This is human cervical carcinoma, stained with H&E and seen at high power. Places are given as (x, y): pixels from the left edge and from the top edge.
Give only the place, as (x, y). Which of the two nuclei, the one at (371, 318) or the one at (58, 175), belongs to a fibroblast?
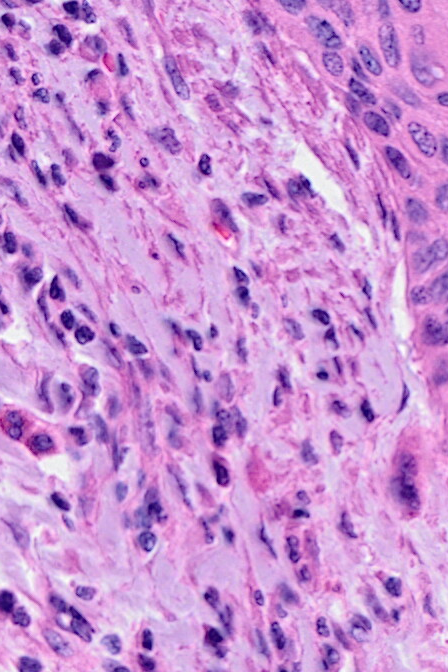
(371, 318)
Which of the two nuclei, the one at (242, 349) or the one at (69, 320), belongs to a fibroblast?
(242, 349)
